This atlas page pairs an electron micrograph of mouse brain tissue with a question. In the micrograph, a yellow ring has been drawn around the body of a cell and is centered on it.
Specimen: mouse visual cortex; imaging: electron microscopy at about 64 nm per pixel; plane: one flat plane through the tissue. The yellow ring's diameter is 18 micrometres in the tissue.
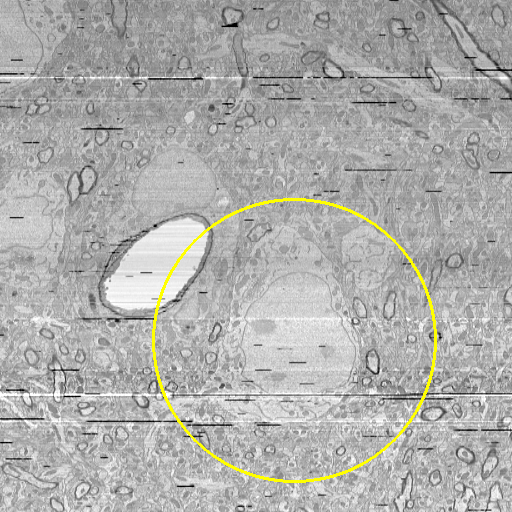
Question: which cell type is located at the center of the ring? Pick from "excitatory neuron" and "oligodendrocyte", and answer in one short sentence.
Located at the center of the ring is an excitatory neuron.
